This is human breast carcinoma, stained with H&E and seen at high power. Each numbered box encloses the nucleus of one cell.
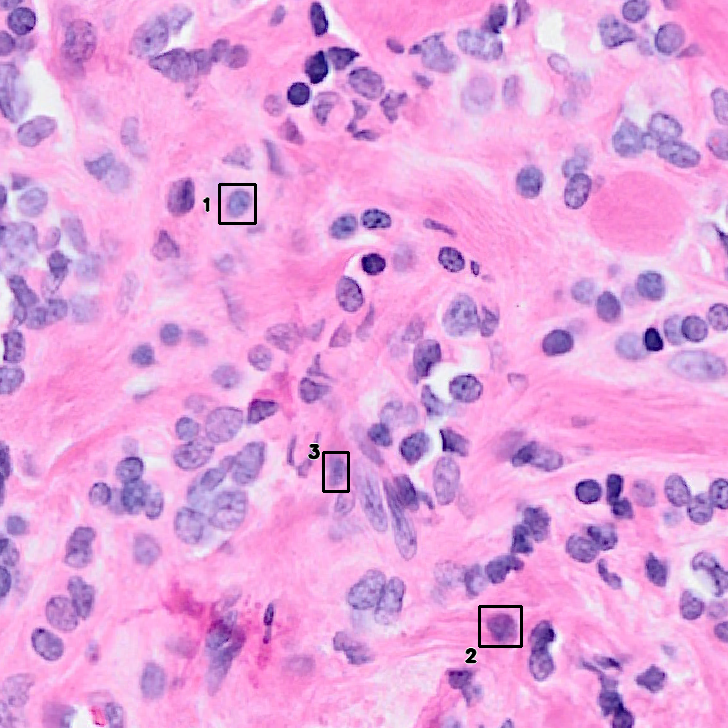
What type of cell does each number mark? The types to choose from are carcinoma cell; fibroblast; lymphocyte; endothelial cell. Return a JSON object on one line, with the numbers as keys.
{"1": "endothelial cell", "2": "carcinoma cell", "3": "endothelial cell"}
